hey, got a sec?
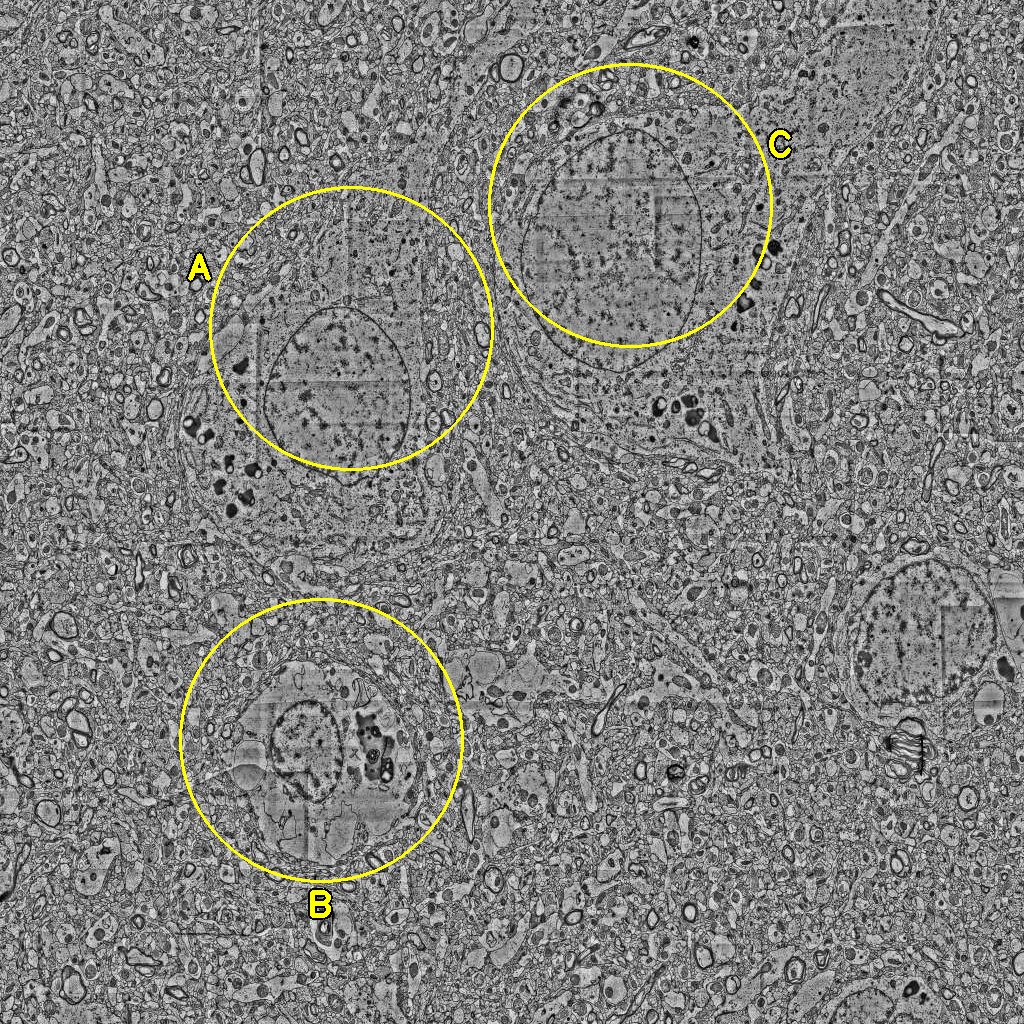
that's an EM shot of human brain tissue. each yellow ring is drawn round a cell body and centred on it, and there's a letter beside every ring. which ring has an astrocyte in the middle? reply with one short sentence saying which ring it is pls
Ring B is the one centred on it.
